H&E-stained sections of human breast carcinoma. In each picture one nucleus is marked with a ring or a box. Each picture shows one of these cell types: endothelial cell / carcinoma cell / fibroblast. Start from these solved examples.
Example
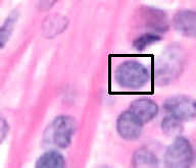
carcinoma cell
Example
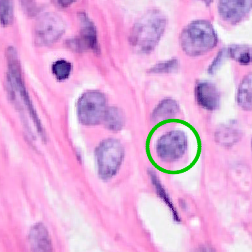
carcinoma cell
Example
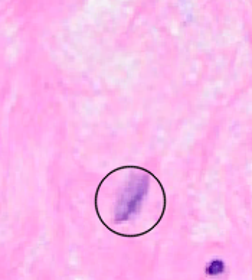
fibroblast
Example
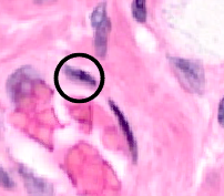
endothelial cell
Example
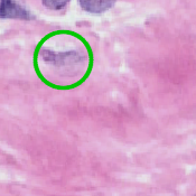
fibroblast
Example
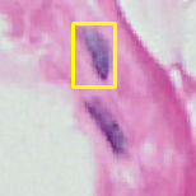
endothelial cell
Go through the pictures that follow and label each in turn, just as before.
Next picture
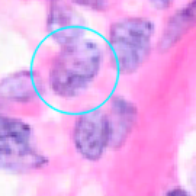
carcinoma cell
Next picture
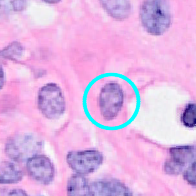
carcinoma cell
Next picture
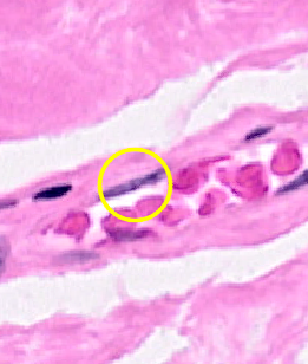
endothelial cell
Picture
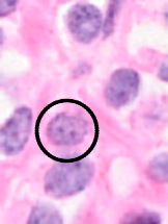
carcinoma cell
